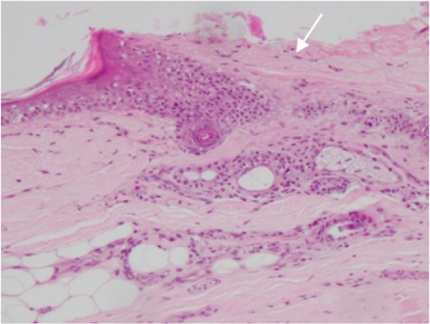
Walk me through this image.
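This is skin, stained pink and purple, with an epidermis that is markedly thicker and more crowded with nuclei at the left than toward the right. In the dermis, dense aggregates of purple nuclei cluster around a hair follicle and around adnexal structures and vessels. Pink collagen fills the spaces between these clusters, and clear round fat cells lie in the lower part of the section.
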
